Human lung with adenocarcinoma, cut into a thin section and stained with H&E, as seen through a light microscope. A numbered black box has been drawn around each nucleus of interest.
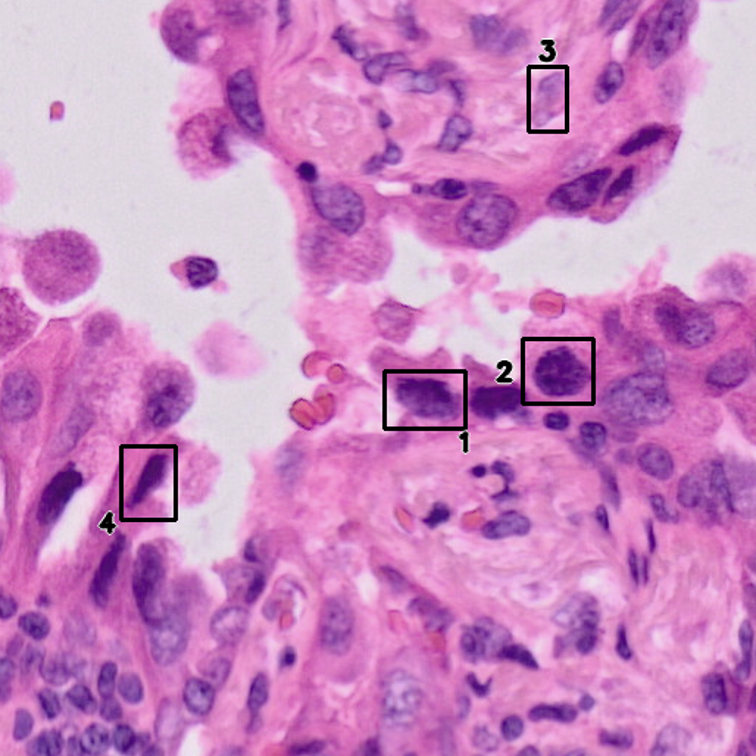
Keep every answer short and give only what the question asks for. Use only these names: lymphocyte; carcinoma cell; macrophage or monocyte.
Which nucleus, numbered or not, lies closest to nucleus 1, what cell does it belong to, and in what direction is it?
a carcinoma cell, to the right of nucleus 1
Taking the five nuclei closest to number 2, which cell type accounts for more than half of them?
lymphocyte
